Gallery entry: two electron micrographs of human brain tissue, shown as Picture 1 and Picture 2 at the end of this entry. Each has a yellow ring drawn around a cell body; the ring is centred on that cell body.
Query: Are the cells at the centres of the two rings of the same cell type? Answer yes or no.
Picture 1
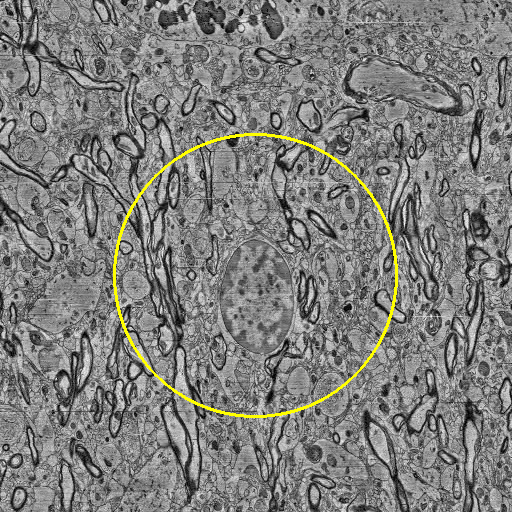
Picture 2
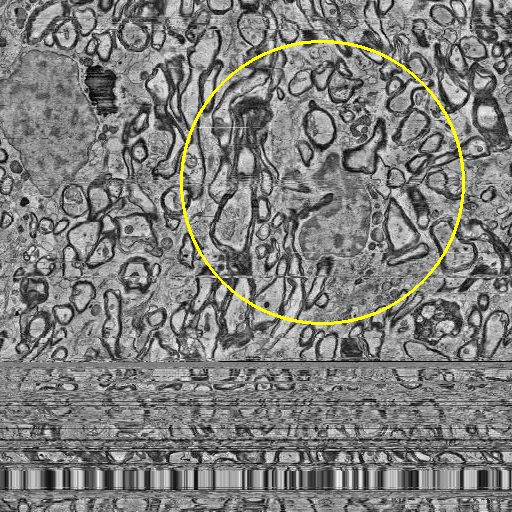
yes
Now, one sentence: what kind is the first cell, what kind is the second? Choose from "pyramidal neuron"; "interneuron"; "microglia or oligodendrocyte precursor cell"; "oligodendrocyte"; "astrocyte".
Each of the ringed cells, first and second, is a microglial cell or oligodendrocyte precursor cell.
